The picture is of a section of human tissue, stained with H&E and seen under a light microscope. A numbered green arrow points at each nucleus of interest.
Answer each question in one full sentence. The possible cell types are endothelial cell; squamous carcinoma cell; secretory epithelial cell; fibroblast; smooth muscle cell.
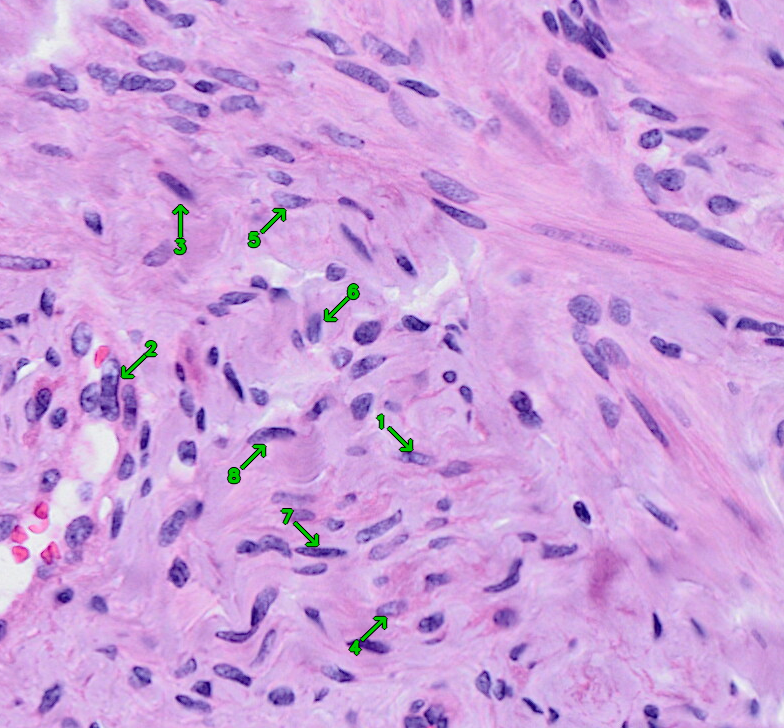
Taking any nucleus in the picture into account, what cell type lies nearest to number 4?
Number 4 lies closest to the nucleus of a smooth muscle cell.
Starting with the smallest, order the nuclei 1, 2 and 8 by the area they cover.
From smallest to largest, the order is 1, 8, 2.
